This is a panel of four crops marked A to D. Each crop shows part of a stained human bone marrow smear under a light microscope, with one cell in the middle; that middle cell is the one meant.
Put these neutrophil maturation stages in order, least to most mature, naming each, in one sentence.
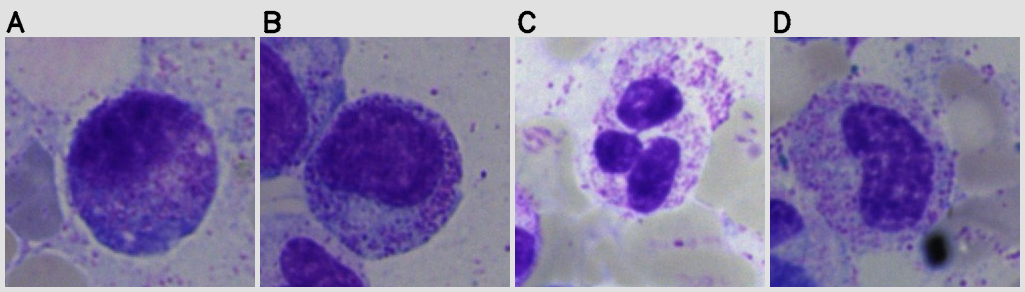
From lowest to highest maturity, the crops run crop A (a promyelocyte), crop B (a myelocyte), crop D (a metamyelocyte) and crop C (a segmented neutrophil).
